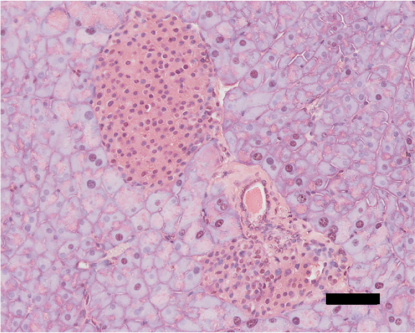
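Pancreas with an islet of Langerhans set among exocrine acinar tissue. The islet is a rounded, sharply bounded cluster of small cells with pale pink cytoplasm and small round, evenly spaced dark nuclei. Below the islet lies a strand of connective tissue carrying a small vessel with pink contents, and a second cluster of endocrine-like cells lies beside it. The boundary between islet and acini is smooth, and the cells within the islet look uniform without spaces or deposits.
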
